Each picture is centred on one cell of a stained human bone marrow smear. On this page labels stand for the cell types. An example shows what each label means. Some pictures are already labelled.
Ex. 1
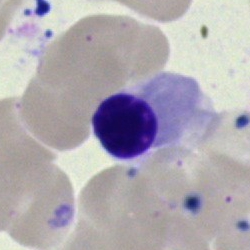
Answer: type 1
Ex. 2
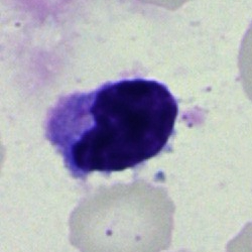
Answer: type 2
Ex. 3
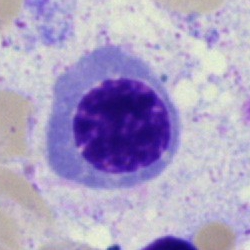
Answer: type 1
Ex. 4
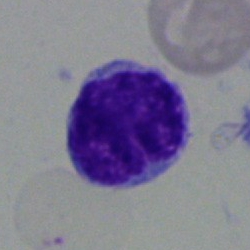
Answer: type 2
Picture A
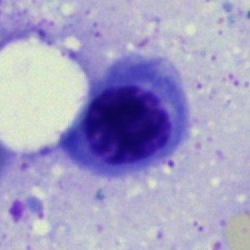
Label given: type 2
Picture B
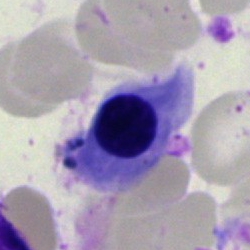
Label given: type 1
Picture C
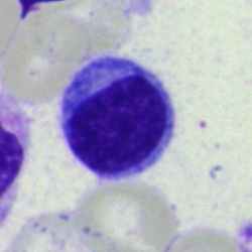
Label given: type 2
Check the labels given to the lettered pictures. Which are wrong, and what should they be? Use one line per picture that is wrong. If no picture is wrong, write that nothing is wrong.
Wrong: A (type 2); correct: type 1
